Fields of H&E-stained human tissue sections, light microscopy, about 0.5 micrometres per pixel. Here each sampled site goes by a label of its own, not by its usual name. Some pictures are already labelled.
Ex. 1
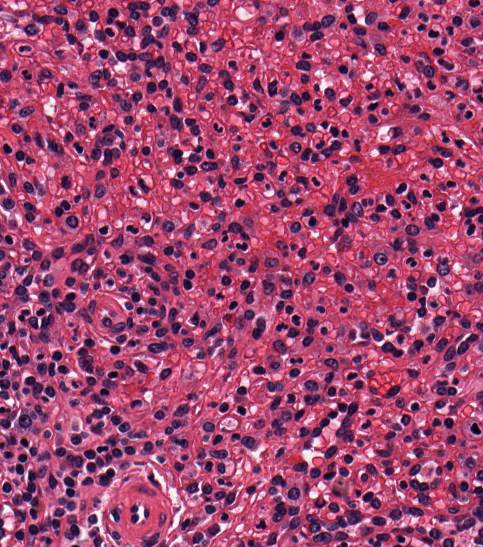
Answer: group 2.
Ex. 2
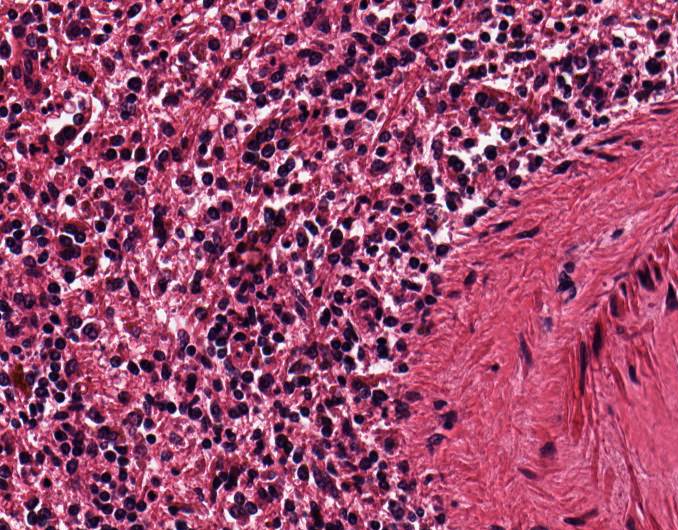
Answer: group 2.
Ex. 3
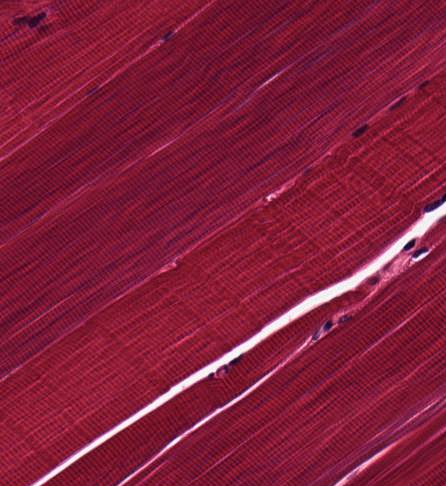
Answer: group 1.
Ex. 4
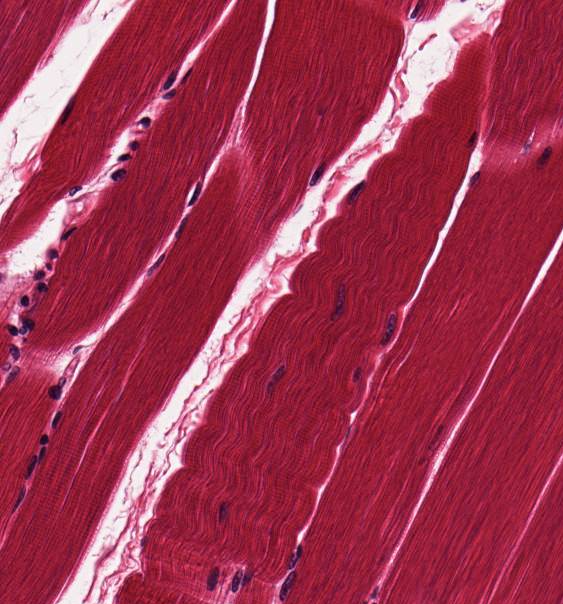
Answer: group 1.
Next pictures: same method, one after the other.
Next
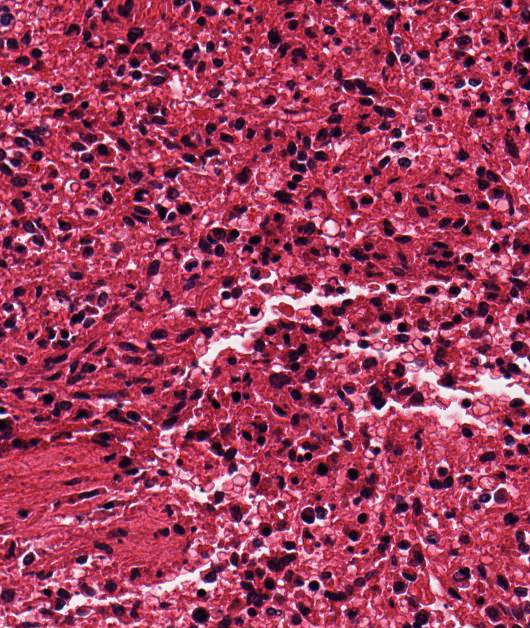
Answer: group 2.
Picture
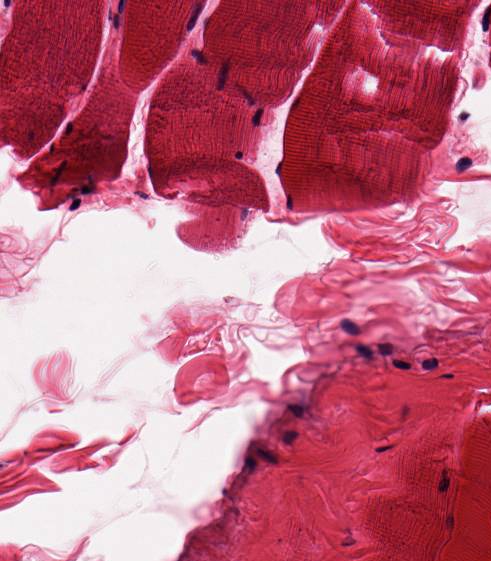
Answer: group 1.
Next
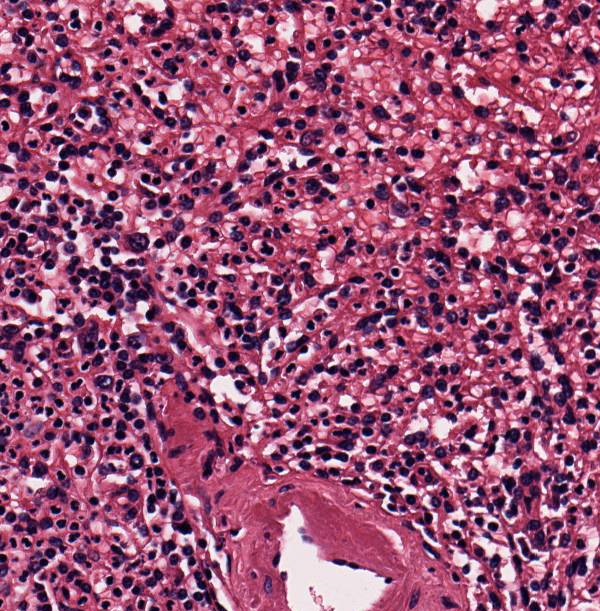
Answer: group 2.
